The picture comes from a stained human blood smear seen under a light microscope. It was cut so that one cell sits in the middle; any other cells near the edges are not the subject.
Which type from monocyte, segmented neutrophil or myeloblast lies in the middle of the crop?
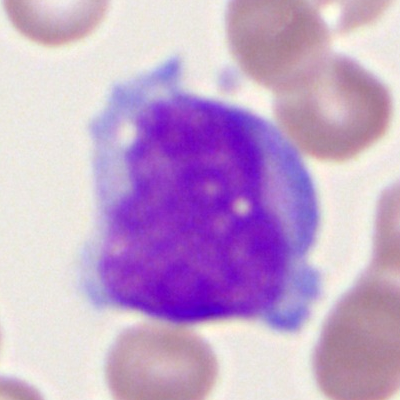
monocyte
